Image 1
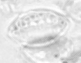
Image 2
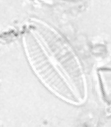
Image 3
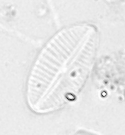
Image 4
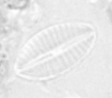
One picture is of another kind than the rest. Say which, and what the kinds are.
Picture 1 shows Nitzschia; the rest show Craticula.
